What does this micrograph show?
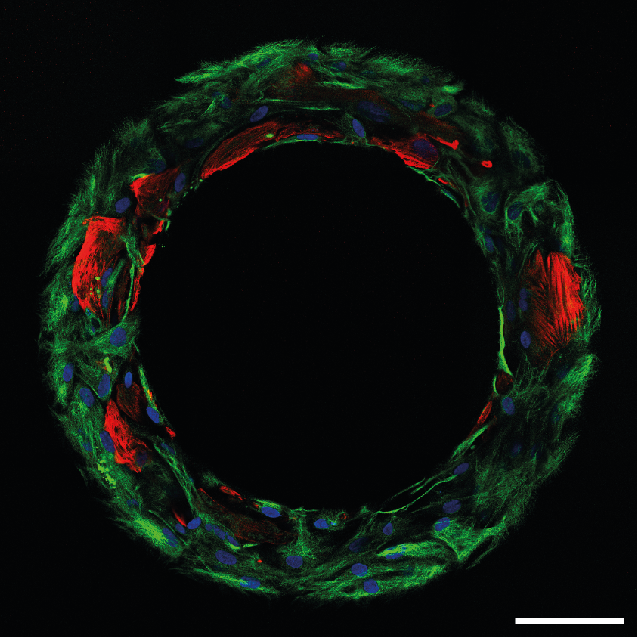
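The green cells are flattened and spread, with fine filamentous networks, and cover most of the ring's width. The red cells form isolated patches with fibrous texture, set within the green layer. Oval blue nuclei are scattered throughout. The central lumen is empty.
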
